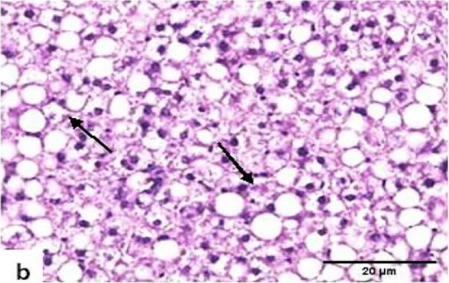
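This is liver tissue in which the hepatocytes show marked fatty change. The dark-staining nuclei are displaced and squeezed between the vacuoles toward the cell edges. Between the large vacuoles the remaining cytoplasm is pink and contains smaller clear droplets. The normal radial arrangement of hepatocyte plates is no longer recognisable, and scattered small dark nuclei between the cells may belong to inflammatory cells.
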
